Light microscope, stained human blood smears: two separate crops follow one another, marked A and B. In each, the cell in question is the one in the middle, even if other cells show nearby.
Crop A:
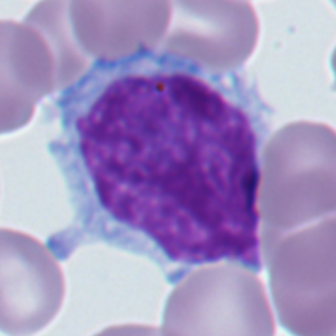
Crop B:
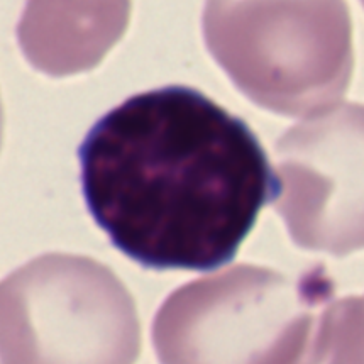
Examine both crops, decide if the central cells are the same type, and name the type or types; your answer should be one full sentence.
Yes, the middle cells in the two crops are typical lymphocytes.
